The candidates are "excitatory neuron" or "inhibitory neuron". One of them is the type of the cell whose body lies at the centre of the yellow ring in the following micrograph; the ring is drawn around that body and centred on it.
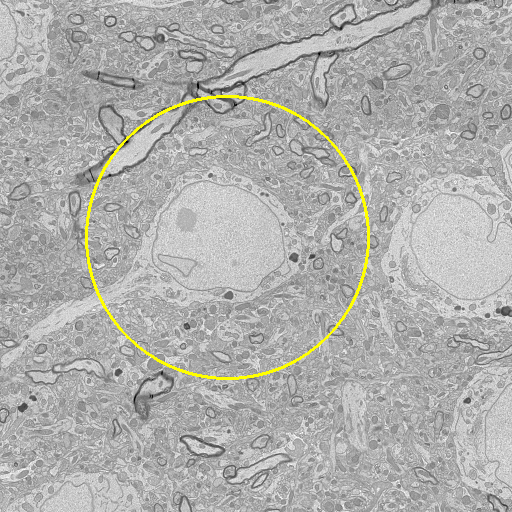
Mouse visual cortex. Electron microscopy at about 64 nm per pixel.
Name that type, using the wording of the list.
excitatory neuron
